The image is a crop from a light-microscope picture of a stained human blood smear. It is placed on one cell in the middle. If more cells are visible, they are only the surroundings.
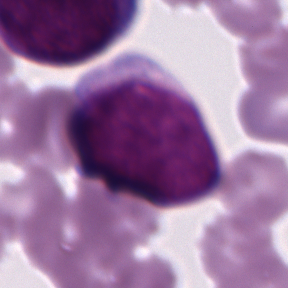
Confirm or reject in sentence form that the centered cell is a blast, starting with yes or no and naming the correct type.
Yes, the identification of the central cell as a blast is correct.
